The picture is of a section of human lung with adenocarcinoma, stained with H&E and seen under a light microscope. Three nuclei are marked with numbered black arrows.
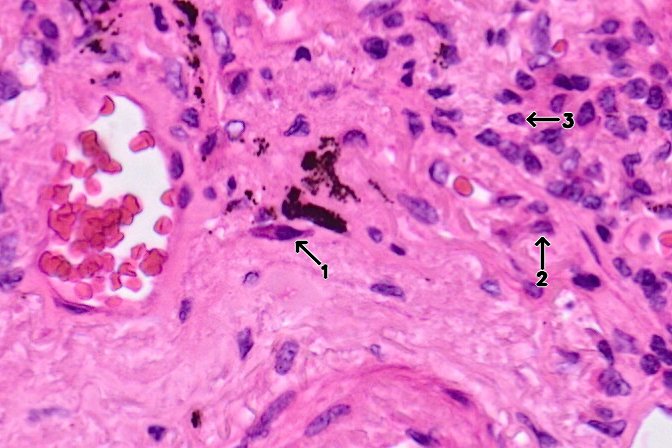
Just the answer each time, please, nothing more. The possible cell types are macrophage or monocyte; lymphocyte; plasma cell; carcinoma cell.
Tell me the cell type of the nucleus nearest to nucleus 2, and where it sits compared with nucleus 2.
a plasma cell, above nucleus 2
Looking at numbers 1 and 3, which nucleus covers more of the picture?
1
